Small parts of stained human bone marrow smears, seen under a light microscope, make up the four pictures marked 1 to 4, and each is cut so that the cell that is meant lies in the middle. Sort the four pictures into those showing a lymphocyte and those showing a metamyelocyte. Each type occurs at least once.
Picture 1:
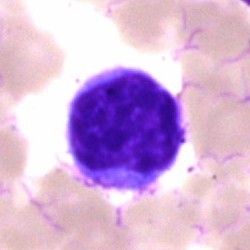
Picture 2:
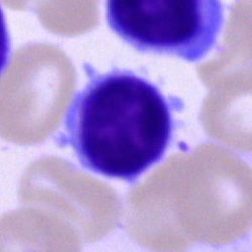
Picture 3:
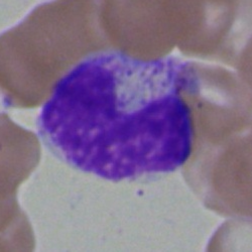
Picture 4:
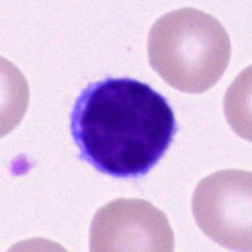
1: lymphocyte
2: lymphocyte
3: metamyelocyte
4: lymphocyte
